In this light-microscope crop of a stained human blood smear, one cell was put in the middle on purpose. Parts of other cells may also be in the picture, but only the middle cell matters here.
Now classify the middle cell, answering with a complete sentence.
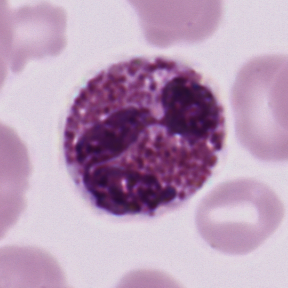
The cell positioned in the middle of the field is an eosinophil.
